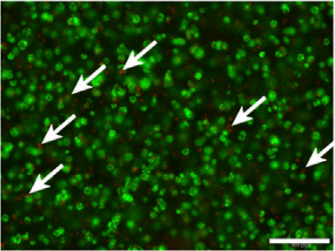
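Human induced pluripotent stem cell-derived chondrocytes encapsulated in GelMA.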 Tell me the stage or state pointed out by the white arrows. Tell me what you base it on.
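Dead cells. The white arrows point to small red dots among many green cells.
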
